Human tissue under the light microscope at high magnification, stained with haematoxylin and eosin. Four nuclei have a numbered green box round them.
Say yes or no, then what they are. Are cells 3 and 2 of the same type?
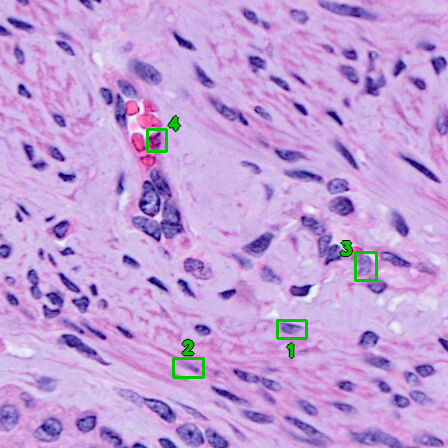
No, cell 3 is an endothelial cell, while a smooth muscle cell is what cell 2 is.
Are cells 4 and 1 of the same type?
No; cell 4 is an endothelial cell, whereas cell 1 is a smooth muscle cell.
